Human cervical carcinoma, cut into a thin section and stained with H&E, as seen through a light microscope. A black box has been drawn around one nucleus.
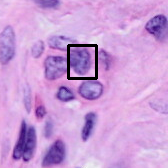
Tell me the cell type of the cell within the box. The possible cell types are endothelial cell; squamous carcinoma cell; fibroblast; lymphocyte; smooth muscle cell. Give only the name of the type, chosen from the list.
endothelial cell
